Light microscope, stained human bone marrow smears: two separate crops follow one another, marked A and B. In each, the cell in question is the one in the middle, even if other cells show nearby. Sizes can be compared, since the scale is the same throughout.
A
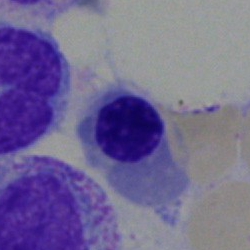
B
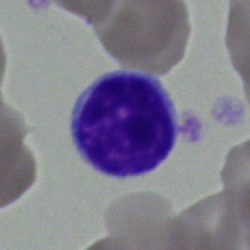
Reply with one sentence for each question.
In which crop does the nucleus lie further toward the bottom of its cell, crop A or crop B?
Seen within its cell, the nucleus in crop B lies further toward the bottom.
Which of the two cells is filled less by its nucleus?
The nucleus fills less of the cell in crop A than in crop B.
